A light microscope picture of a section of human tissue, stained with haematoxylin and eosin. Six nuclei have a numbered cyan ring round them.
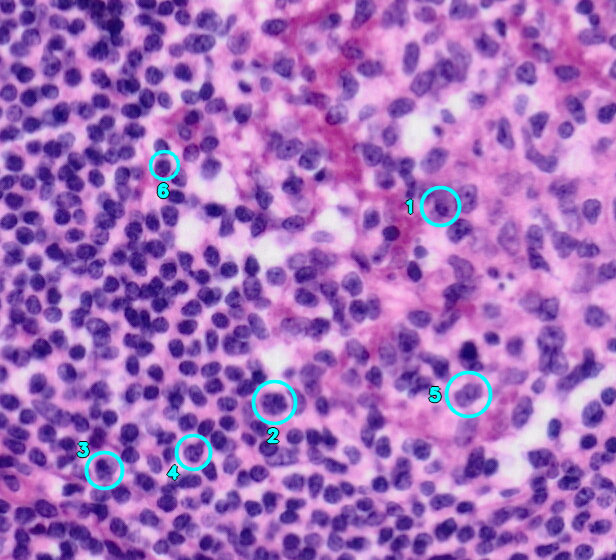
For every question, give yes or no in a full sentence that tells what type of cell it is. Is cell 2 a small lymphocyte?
No, number 2 points to a proliferating B cell and not to a small lymphocyte.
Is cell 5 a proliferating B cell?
Yes, the cell that bears number 5 is a proliferating B cell.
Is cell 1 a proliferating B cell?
Yes, the cell indicated by number 1 is a proliferating B cell.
